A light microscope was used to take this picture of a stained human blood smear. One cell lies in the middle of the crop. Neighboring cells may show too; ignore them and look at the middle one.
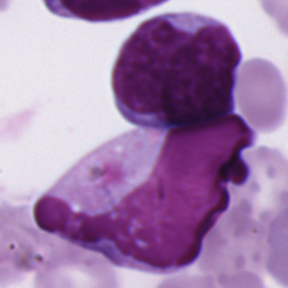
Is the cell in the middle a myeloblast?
yes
